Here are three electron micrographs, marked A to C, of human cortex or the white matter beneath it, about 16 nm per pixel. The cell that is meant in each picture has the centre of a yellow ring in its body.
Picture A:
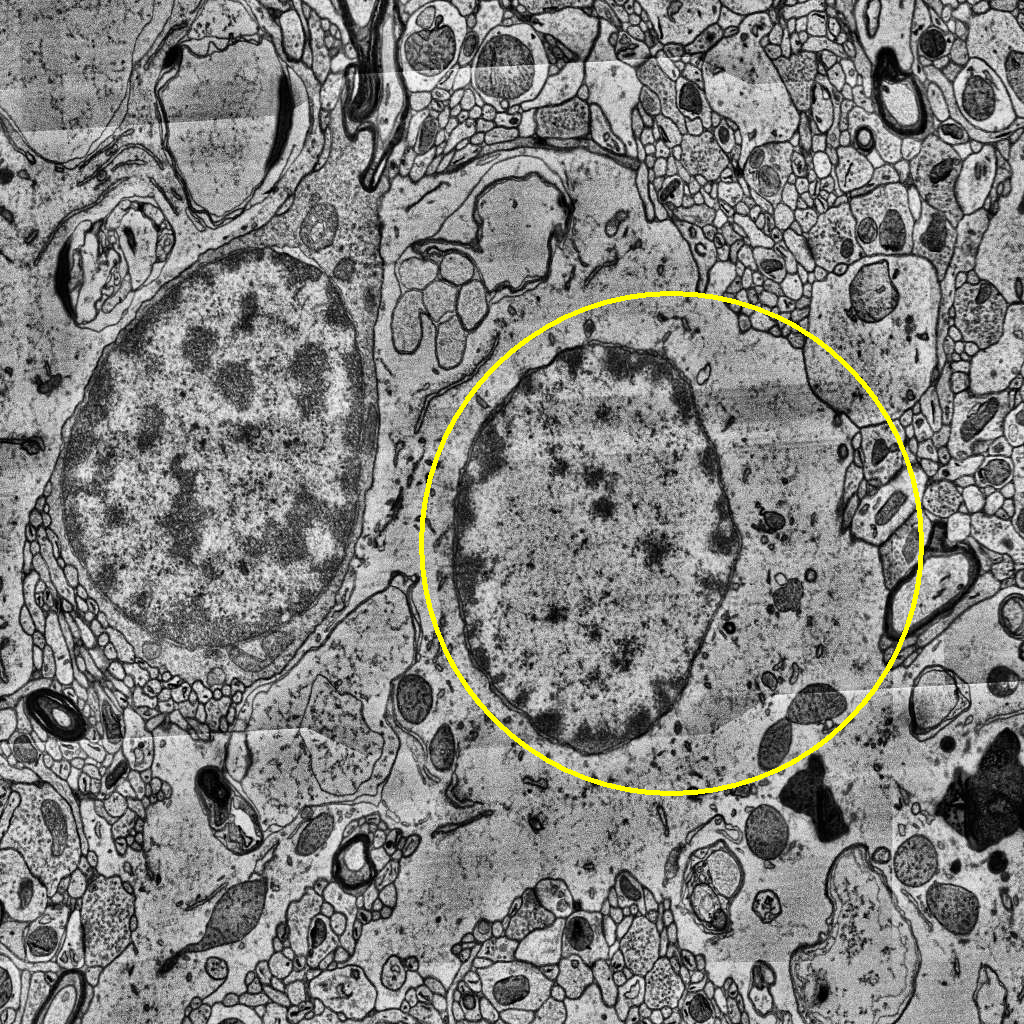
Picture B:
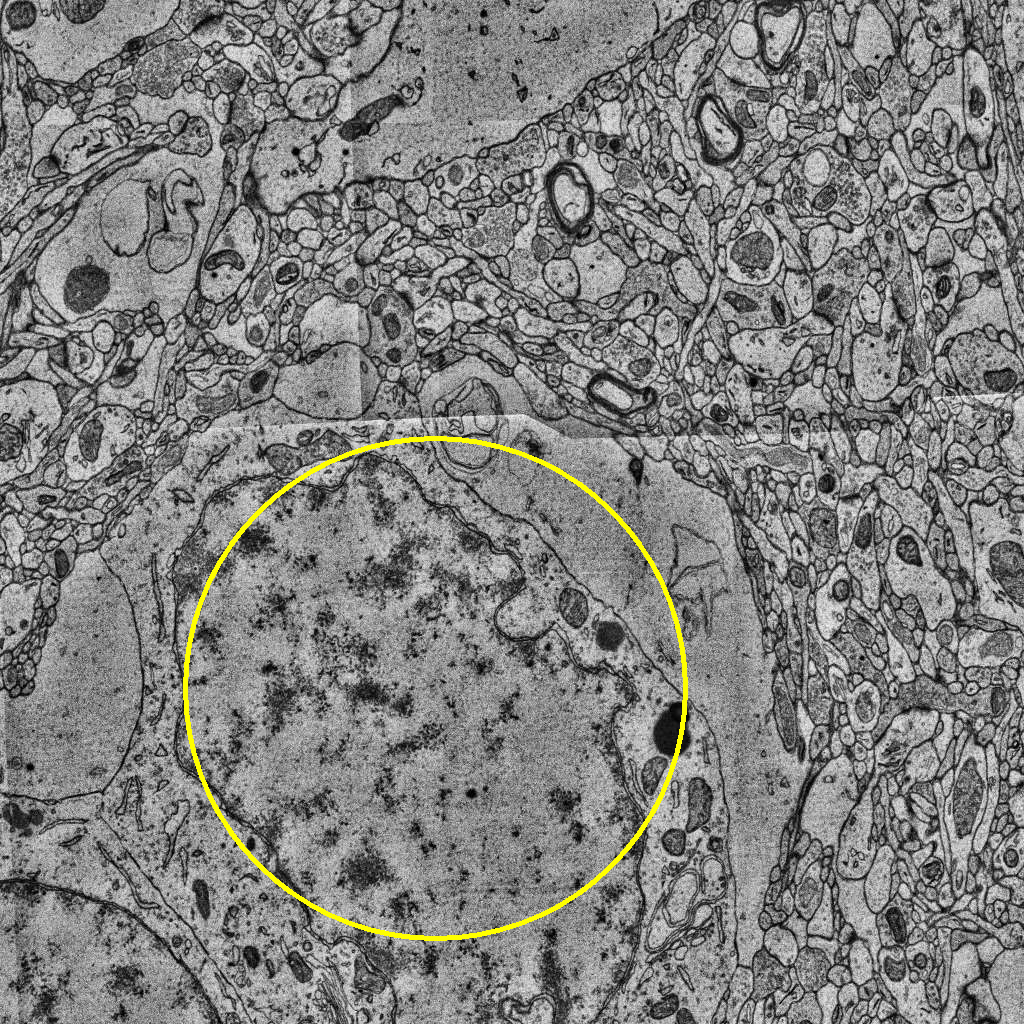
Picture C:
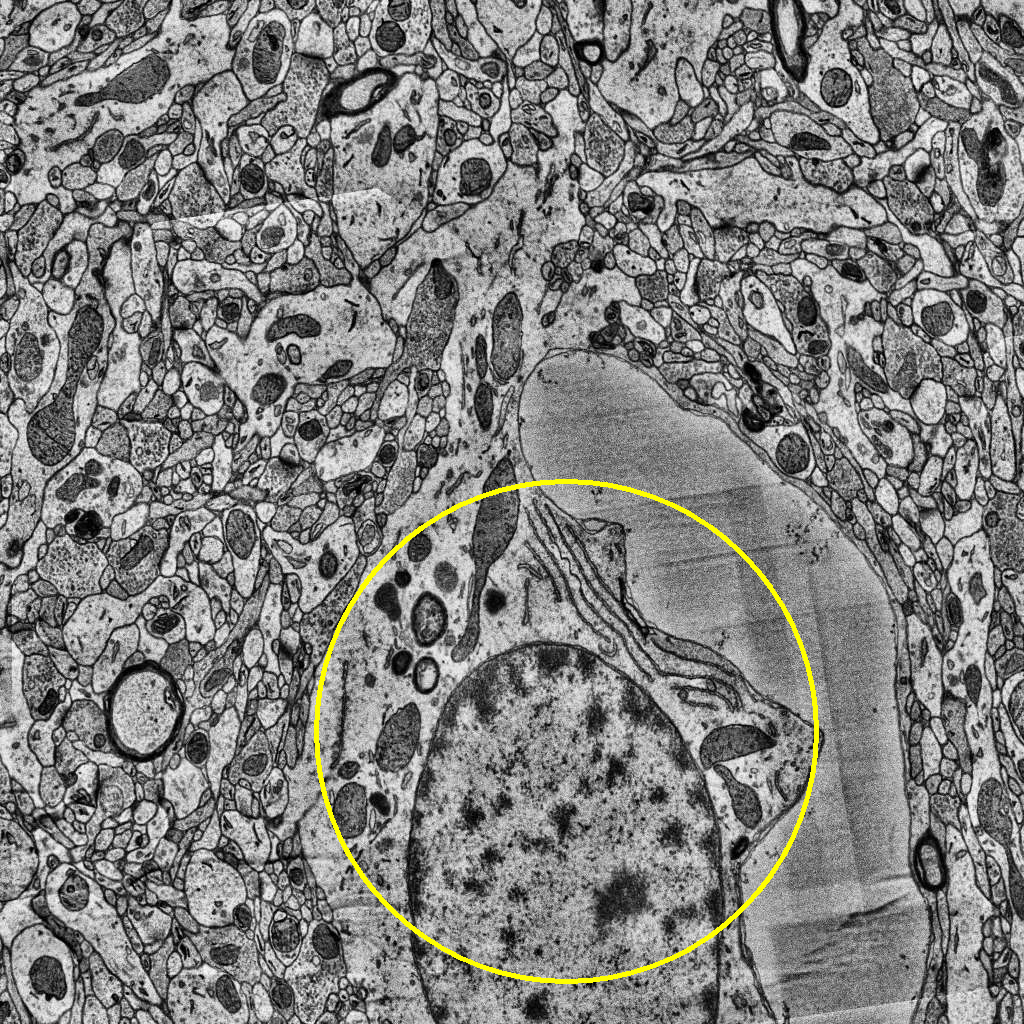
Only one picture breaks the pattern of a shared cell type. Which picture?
Unlike the rest, which show astrocytes, picture B shows an interneuron.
